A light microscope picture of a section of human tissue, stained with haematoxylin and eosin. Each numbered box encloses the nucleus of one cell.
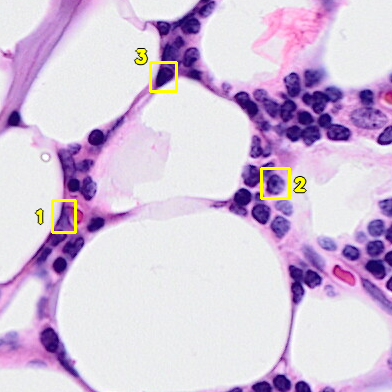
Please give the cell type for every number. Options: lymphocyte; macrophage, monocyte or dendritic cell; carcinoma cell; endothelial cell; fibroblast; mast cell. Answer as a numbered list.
1. endothelial cell
2. lymphocyte
3. lymphocyte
